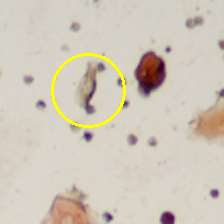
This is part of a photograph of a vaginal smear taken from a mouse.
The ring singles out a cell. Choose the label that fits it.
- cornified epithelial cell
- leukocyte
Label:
cornified epithelial cell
